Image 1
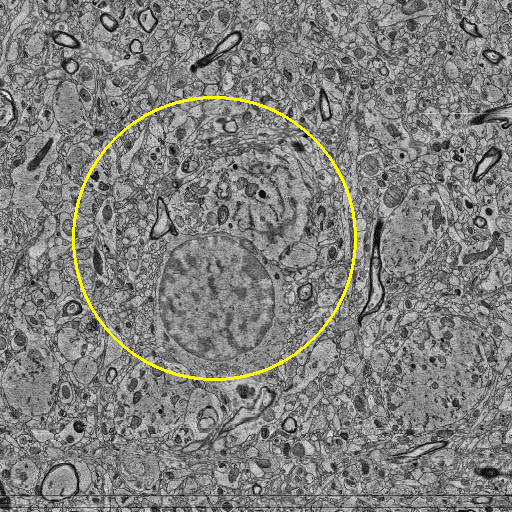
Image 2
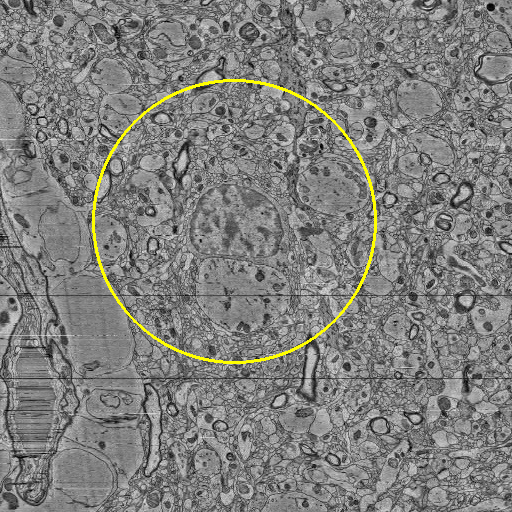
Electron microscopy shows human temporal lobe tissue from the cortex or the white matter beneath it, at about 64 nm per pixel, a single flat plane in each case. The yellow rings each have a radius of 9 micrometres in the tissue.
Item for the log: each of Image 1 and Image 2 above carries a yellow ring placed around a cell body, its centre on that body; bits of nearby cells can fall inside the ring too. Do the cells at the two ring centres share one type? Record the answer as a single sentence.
Yes, the two cells at the ring centres in Image 1 and Image 2 share one type.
